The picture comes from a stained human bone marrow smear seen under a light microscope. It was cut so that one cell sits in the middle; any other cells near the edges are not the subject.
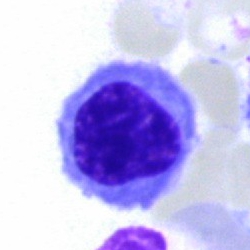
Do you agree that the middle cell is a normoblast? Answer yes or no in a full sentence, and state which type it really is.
Yes, the identity of the central cell is that of a normoblast.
